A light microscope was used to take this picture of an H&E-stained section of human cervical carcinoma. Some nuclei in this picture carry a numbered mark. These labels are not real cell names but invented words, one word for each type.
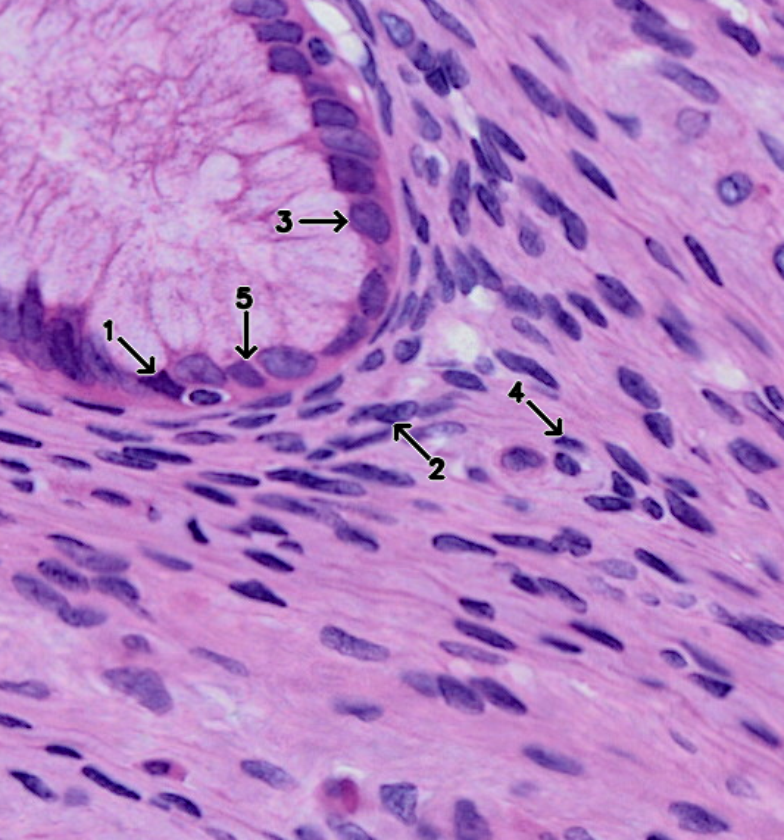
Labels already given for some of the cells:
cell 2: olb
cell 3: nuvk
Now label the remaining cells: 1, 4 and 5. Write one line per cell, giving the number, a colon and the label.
1: nuvk
4: olb
5: nuvk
